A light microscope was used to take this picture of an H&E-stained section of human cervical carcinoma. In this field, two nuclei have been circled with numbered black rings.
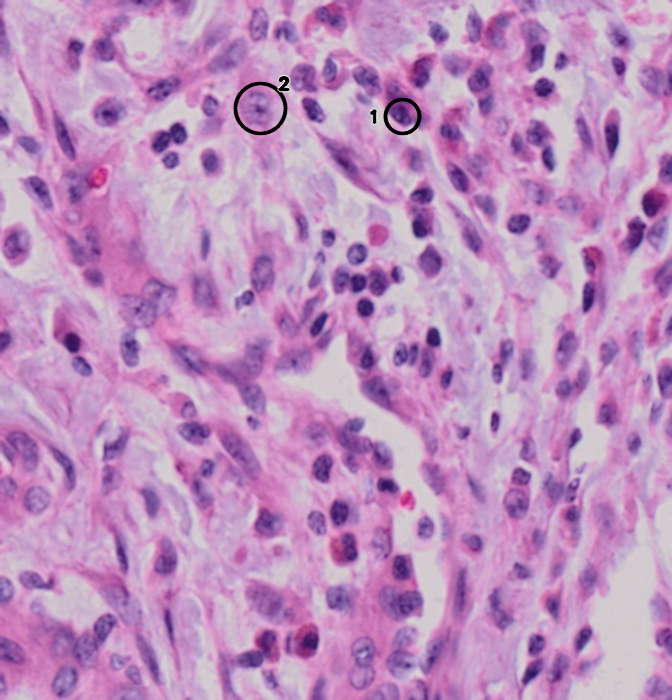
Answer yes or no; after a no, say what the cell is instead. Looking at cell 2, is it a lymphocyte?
No, it is an endothelial cell.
